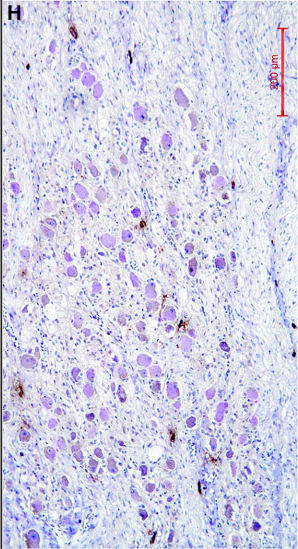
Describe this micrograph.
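This is ganglionic tissue with numerous large round cell bodies stained pale purple to lilac, set in a pale fibrous background rich in small blue elongated nuclei. Scattered singly among them are a few small, dark brown cells, some rounded and some irregular or spindle-shaped. These brown cells are sparse and lie in the connective tissue between the large cell bodies rather than forming groups.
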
